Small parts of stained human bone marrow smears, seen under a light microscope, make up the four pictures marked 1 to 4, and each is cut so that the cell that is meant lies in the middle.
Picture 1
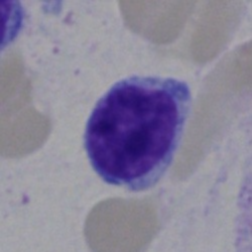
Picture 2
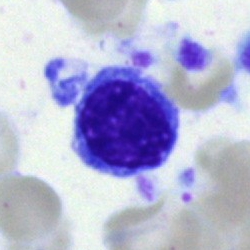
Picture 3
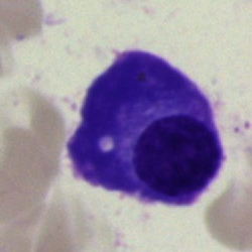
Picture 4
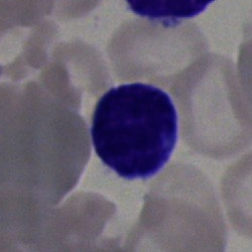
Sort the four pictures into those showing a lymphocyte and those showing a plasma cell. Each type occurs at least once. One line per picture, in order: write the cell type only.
lymphocyte
lymphocyte
plasma cell
lymphocyte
